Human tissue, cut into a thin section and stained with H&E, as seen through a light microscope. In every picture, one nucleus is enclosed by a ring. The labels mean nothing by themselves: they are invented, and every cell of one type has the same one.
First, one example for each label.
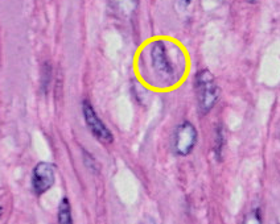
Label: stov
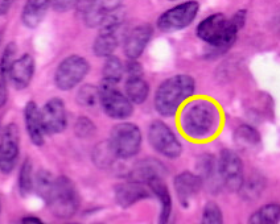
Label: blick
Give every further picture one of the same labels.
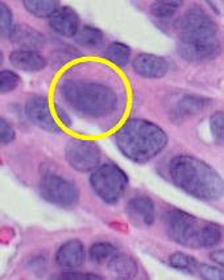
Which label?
blick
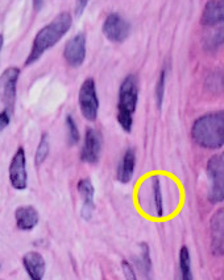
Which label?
stov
